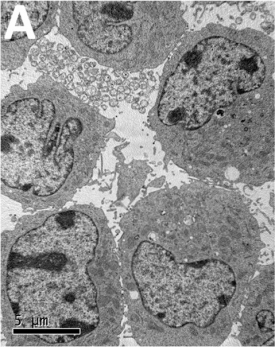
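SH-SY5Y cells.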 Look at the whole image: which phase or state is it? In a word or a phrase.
High nucleo-cytoplasmic ratio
